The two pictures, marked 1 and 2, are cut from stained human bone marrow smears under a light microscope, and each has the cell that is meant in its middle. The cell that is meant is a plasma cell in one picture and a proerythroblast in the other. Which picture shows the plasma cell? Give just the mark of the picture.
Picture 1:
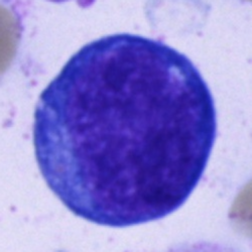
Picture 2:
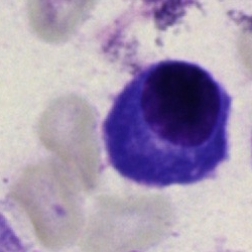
2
